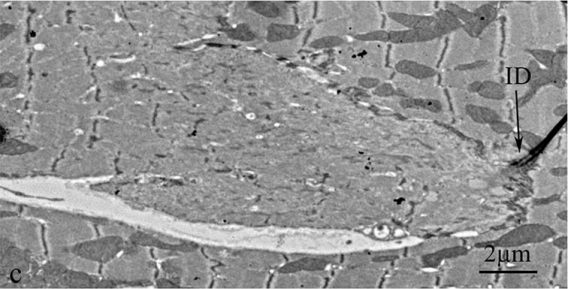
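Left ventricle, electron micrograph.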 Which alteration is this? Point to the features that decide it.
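Disordered sarcomeres. In the middle of the cell the regular striated banding is lost and the myofilaments look irregular. Striated regions with mitochondria lie above and below this disordered zone.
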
